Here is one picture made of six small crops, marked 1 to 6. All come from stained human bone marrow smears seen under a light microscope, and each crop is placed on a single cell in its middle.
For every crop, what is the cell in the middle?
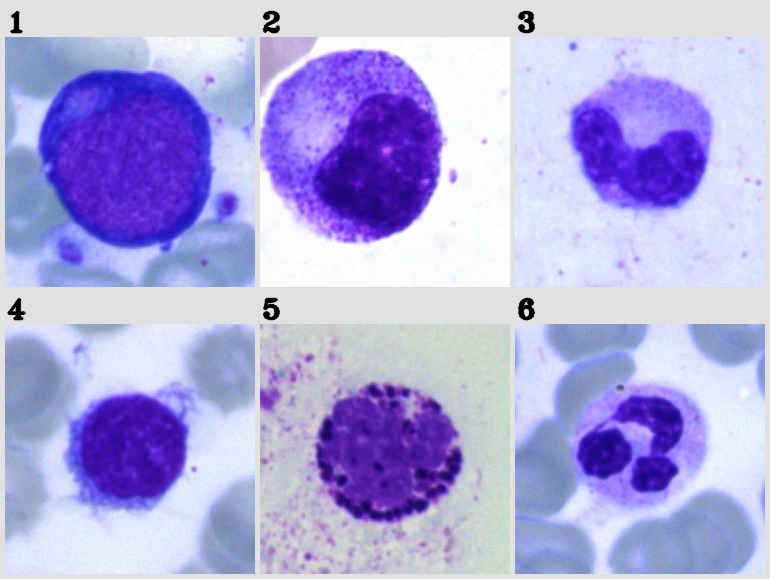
1: proerythroblast
2: metamyelocyte
3: band neutrophil
4: hairy cell
5: basophil
6: segmented neutrophil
